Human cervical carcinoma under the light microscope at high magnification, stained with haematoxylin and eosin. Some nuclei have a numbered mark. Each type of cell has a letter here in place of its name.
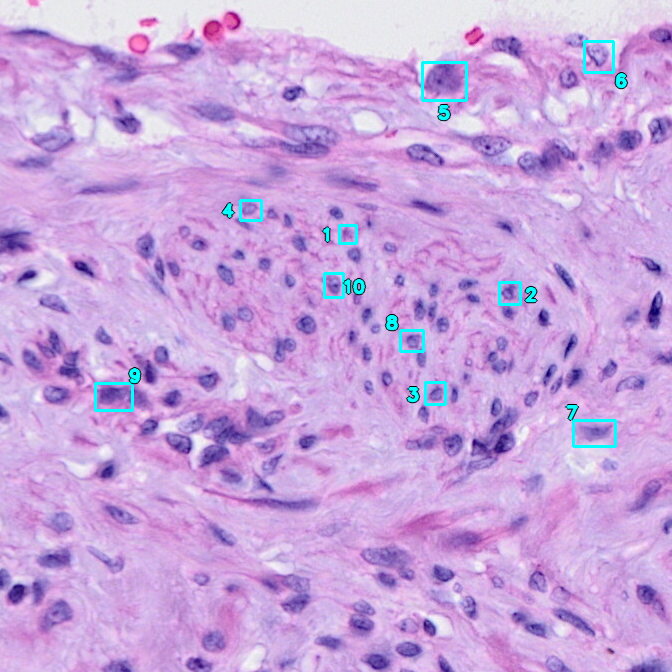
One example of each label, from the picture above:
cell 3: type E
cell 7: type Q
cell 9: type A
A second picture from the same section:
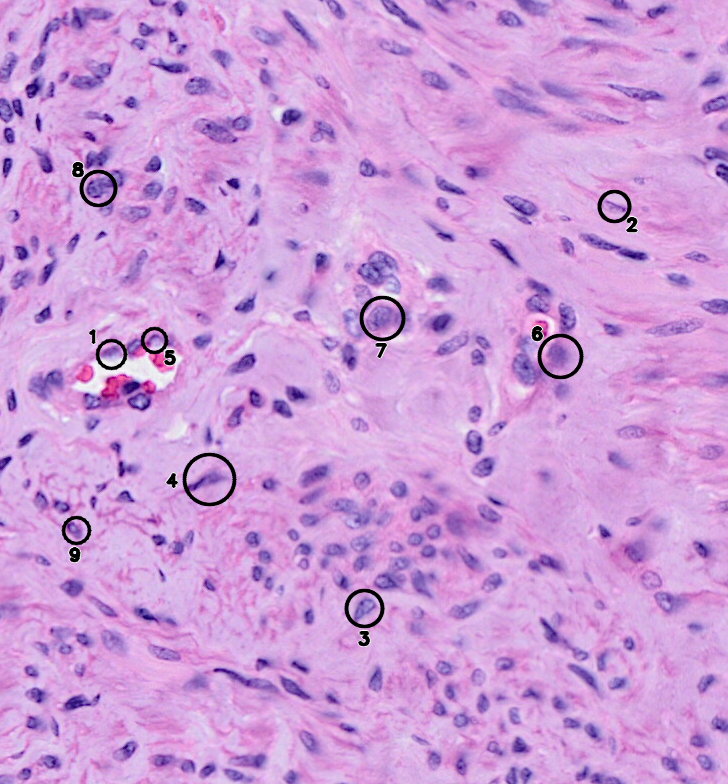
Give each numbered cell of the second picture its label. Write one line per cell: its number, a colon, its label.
1: type A
2: type E
3: type E
4: type Q
5: type A
6: type A
7: type A
8: type E
9: type E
